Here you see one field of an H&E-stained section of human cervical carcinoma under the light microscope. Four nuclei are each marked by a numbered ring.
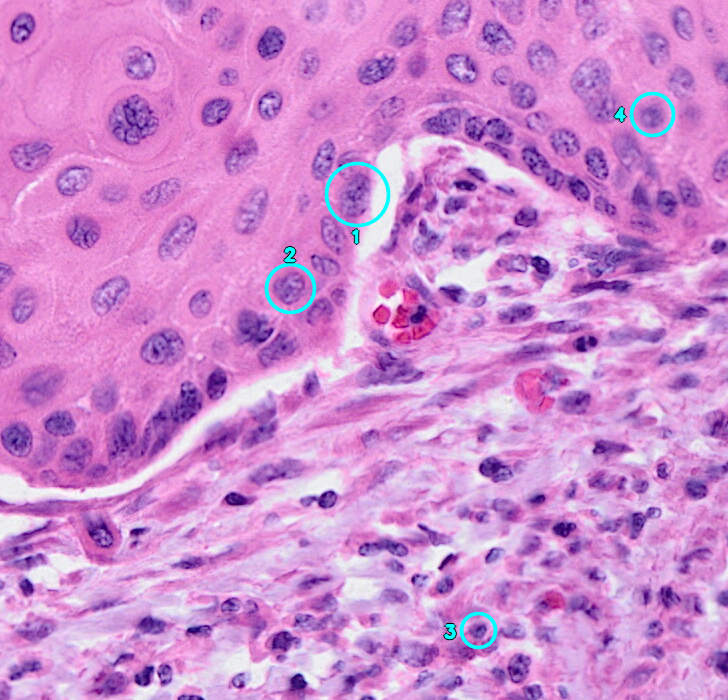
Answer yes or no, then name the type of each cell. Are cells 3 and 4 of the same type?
No; cell 3 is a lymphocyte, and cell 4 is a squamous carcinoma cell.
